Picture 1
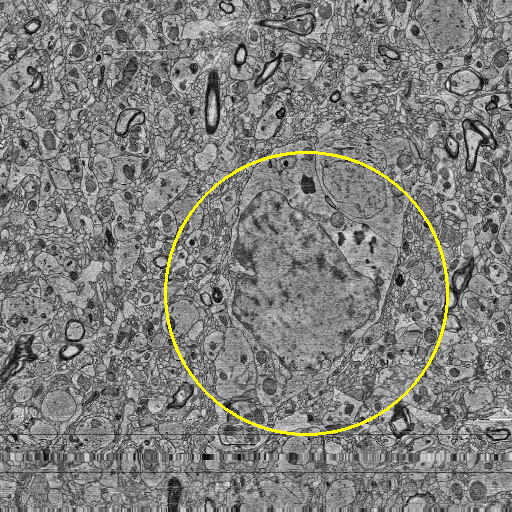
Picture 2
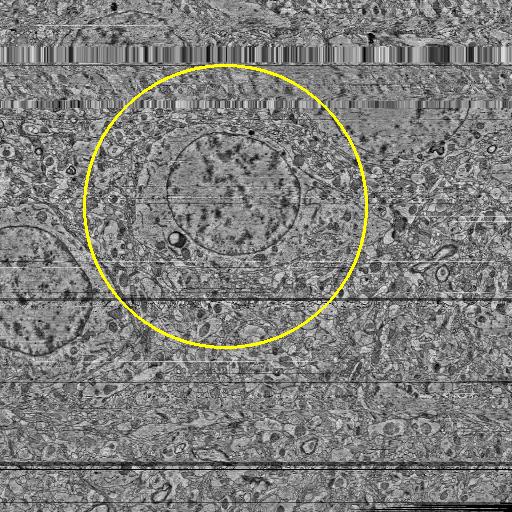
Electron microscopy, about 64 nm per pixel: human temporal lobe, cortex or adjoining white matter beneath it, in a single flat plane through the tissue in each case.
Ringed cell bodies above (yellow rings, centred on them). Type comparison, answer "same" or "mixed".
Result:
mixed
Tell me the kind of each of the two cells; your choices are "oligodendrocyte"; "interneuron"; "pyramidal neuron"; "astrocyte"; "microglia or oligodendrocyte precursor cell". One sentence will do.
The ringed cell is an interneuron in the first picture and a pyramidal neuron in the second picture.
